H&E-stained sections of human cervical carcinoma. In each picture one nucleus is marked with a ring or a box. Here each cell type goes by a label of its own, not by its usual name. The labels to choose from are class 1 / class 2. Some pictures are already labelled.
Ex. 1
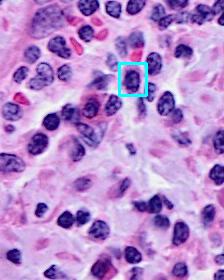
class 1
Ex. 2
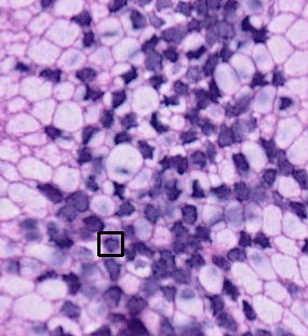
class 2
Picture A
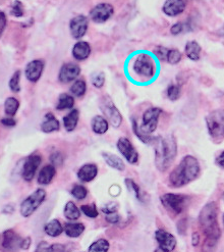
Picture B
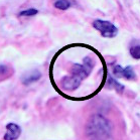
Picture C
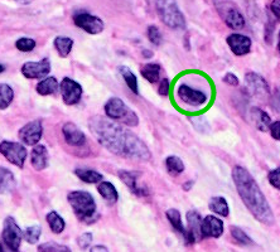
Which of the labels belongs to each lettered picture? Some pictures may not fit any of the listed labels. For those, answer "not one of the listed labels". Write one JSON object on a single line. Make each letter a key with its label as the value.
{"A": "class 1", "B": "not one of the listed labels", "C": "class 1"}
